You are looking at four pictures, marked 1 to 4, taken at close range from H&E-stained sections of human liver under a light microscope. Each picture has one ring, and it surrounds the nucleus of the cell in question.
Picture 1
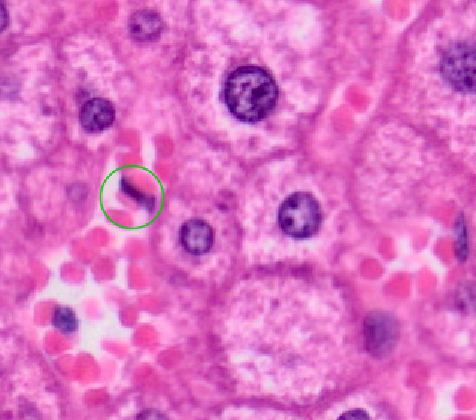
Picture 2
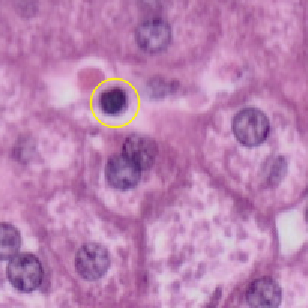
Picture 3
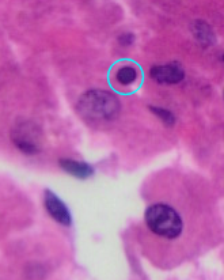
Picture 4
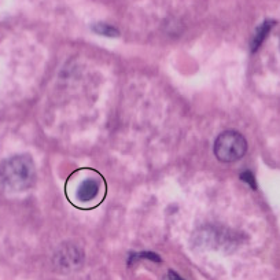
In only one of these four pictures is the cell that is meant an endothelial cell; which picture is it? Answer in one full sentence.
The picture with the endothelial cell is 1.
